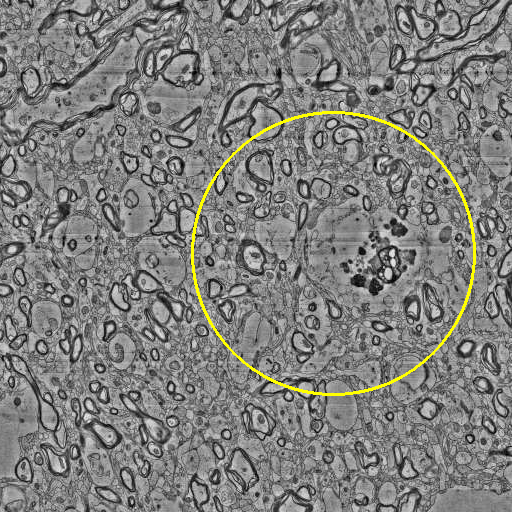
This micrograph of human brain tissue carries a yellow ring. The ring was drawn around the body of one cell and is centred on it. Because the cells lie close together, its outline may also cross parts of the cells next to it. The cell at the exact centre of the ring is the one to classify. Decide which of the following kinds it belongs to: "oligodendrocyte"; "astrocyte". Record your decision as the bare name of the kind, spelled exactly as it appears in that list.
astrocyte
